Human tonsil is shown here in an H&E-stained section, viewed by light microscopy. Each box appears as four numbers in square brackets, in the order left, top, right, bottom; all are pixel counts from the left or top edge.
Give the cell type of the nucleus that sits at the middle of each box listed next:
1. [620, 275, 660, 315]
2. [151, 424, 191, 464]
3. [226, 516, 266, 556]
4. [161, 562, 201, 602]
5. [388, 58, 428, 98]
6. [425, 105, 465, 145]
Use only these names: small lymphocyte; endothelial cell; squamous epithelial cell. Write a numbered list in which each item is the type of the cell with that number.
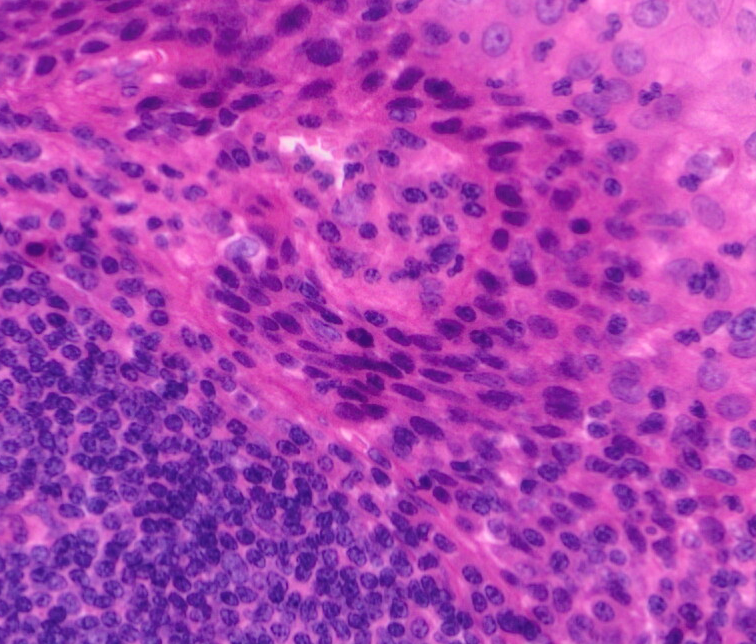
1. squamous epithelial cell
2. small lymphocyte
3. small lymphocyte
4. small lymphocyte
5. squamous epithelial cell
6. squamous epithelial cell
